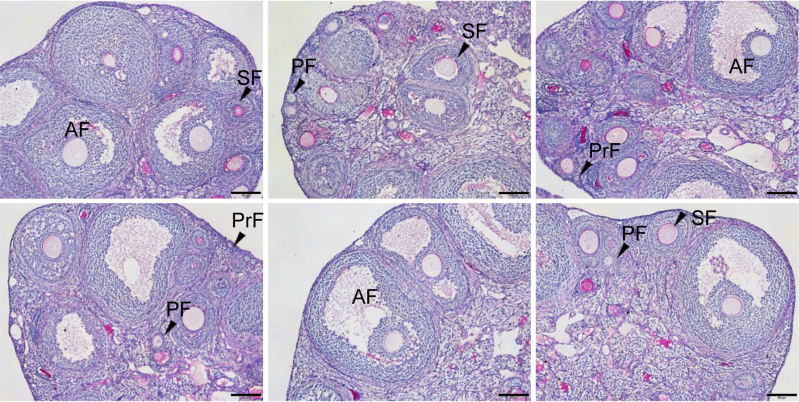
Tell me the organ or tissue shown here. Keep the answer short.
Ovaries.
